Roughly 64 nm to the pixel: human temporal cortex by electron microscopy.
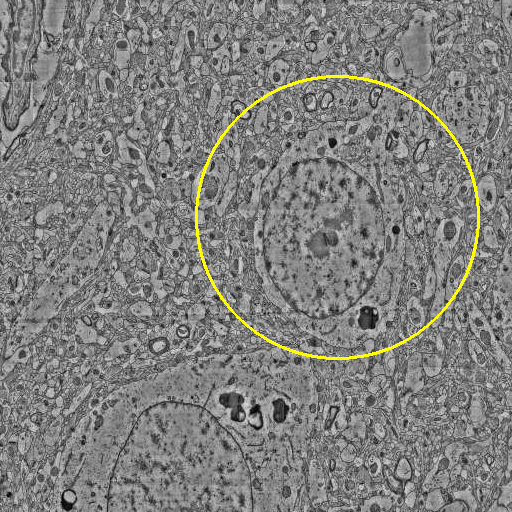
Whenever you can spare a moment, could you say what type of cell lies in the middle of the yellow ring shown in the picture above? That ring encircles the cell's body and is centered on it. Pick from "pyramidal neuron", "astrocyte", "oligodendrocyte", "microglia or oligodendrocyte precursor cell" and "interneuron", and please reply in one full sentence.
The cell whose body sits at the middle of the yellow ring is an interneuron.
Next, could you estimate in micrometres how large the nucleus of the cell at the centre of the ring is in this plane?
The nucleus appears roughly 10 by 8 micrometres in this plane.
